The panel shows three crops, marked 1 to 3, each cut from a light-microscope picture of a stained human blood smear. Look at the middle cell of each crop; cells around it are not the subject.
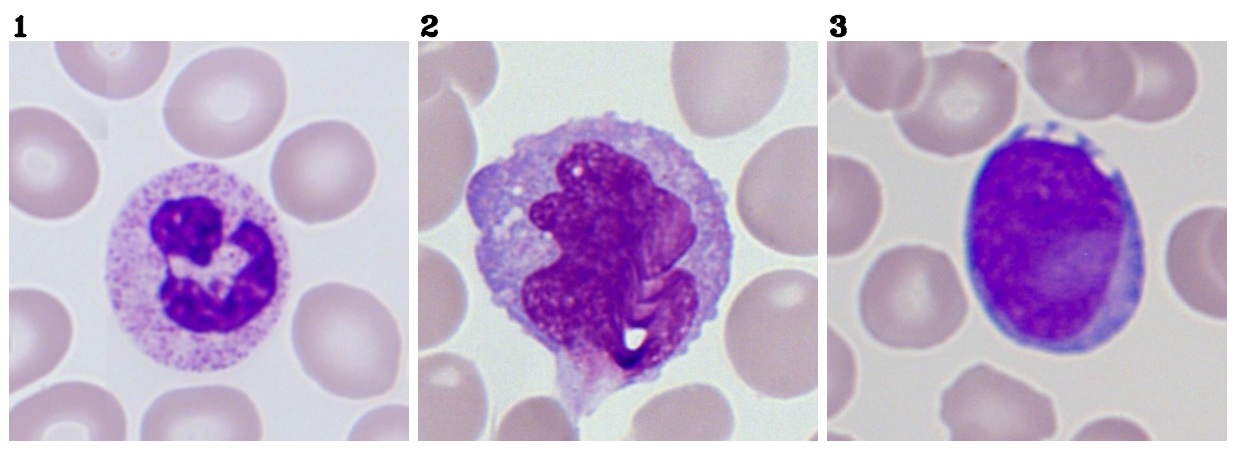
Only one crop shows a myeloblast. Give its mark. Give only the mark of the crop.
3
